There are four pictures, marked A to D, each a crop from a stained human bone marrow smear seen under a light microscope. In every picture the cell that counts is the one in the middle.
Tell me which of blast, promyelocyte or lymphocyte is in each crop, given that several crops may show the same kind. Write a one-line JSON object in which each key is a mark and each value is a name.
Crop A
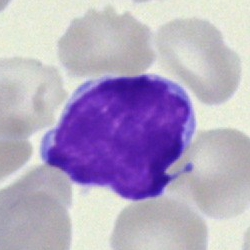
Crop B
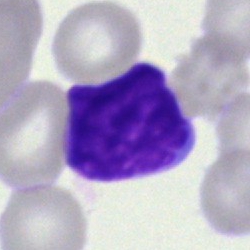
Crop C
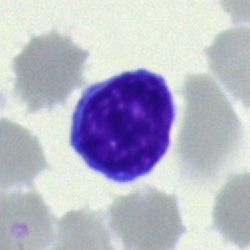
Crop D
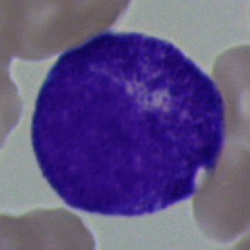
{"A": "lymphocyte", "B": "blast", "C": "lymphocyte", "D": "promyelocyte"}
